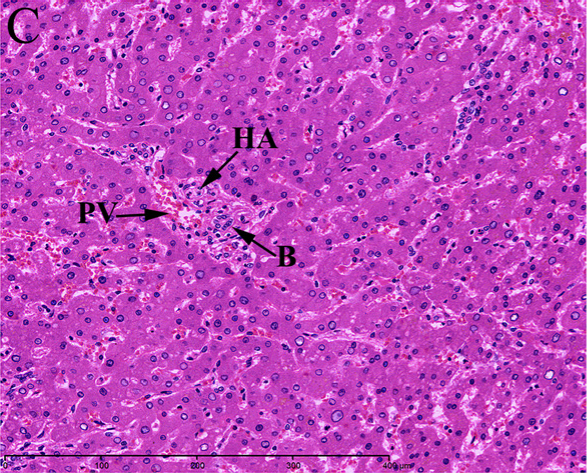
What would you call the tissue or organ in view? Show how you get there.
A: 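Large polygonal cells with round central nuclei and pink cytoplasm form anastomosing cords. Narrow sinusoid spaces with red blood cells run between the cords. A small portal area with vessels and a duct lies at the left.
Hence: liver.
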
